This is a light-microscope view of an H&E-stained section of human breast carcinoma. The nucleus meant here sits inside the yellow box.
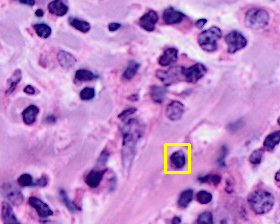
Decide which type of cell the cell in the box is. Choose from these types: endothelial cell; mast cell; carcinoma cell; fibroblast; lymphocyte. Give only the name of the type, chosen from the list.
lymphocyte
